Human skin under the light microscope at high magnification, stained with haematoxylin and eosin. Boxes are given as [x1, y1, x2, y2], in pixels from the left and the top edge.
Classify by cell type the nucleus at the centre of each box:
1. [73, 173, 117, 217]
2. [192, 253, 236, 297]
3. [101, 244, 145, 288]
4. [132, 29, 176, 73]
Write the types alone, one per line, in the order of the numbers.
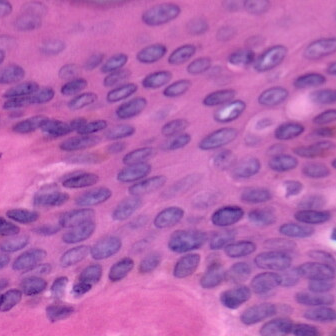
basal keratinocyte
basal keratinocyte
basal keratinocyte
suprabasal keratinocyte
